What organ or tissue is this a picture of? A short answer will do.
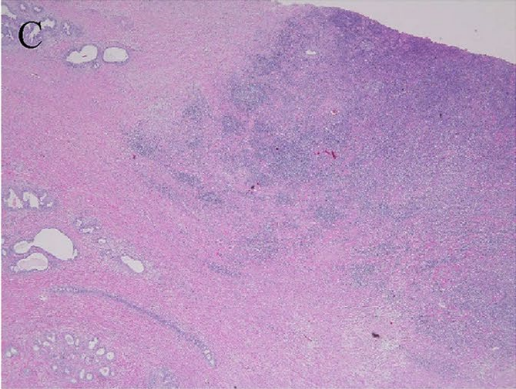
prostate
